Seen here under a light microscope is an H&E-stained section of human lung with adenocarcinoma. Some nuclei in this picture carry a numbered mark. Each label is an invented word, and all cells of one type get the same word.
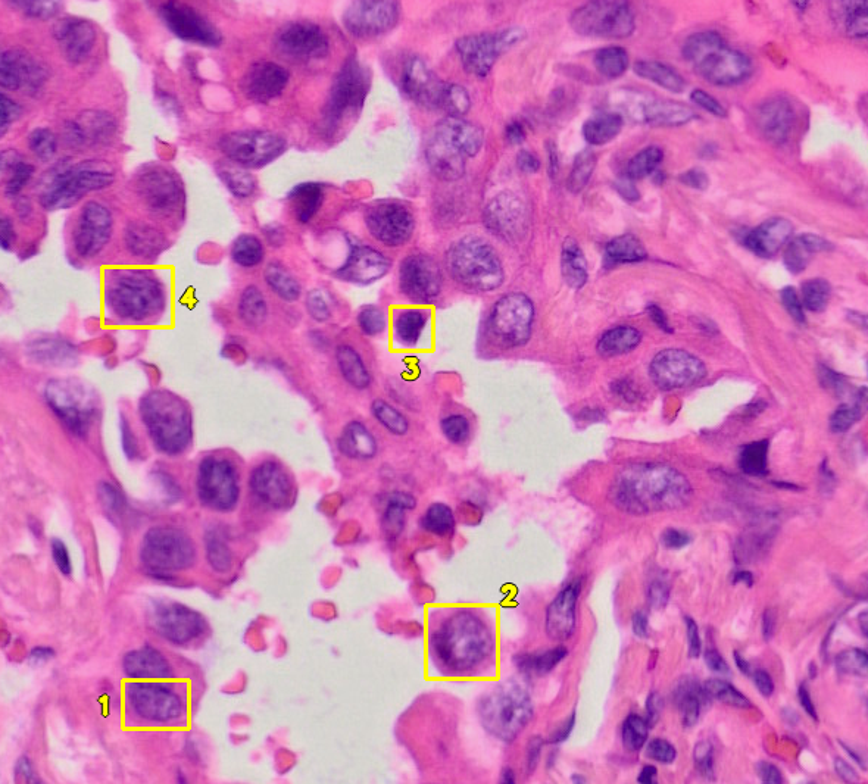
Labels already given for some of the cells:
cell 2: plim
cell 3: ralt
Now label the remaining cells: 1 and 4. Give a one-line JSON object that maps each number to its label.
{"1": "plim", "4": "plim"}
